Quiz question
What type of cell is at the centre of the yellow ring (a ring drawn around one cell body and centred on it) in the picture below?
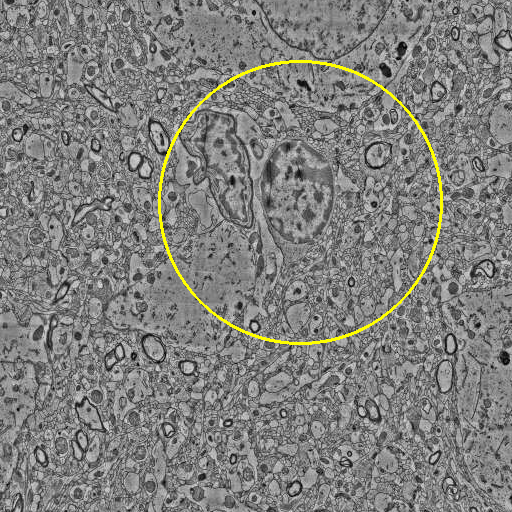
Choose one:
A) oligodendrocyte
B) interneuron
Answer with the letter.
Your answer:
A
